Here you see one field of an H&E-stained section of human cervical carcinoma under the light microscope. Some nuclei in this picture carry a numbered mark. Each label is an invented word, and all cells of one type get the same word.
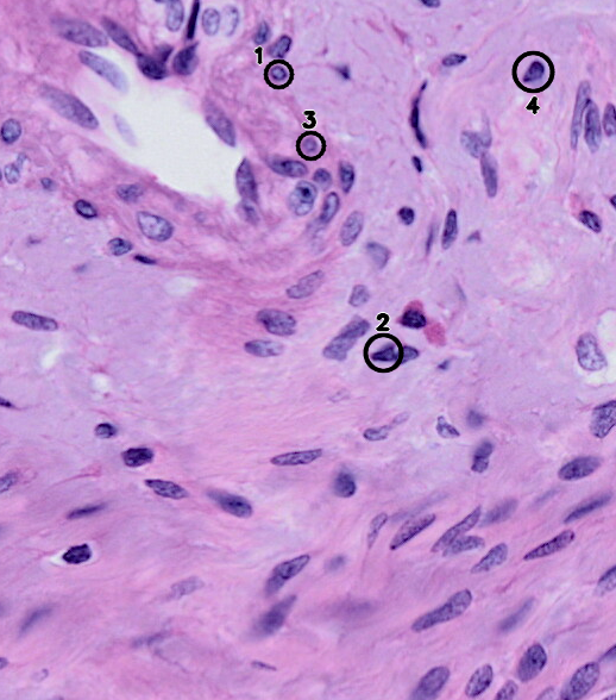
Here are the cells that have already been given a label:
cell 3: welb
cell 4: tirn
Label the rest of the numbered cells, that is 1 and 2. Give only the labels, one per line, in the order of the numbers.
welb
tirn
